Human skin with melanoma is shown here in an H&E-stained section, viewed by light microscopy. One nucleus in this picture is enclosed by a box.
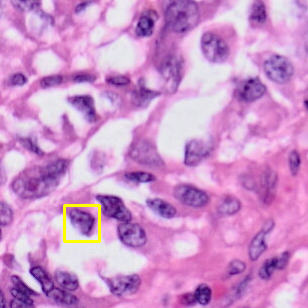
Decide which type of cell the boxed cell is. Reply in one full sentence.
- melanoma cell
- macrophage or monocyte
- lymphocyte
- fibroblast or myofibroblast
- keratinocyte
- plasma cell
As for its identity, the boxed cell is a melanoma cell.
